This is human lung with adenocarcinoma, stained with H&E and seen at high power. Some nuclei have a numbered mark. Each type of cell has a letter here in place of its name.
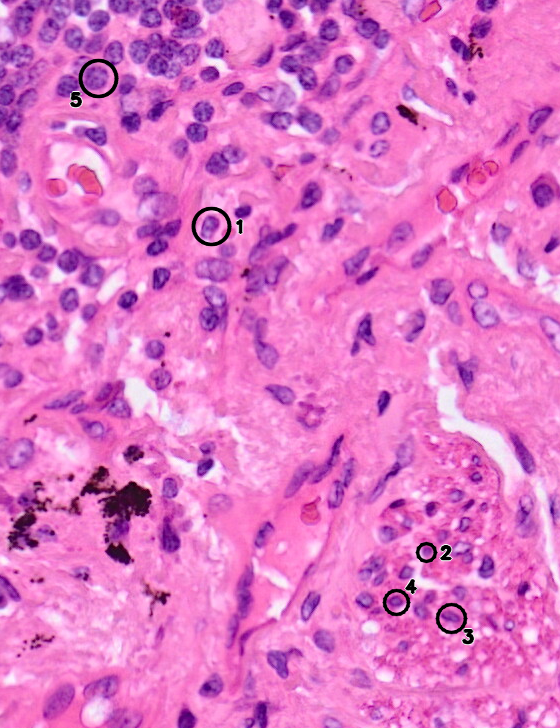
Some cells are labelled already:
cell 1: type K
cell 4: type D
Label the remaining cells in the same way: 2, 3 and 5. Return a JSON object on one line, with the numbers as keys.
{"2": "type D", "3": "type D", "5": "type K"}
